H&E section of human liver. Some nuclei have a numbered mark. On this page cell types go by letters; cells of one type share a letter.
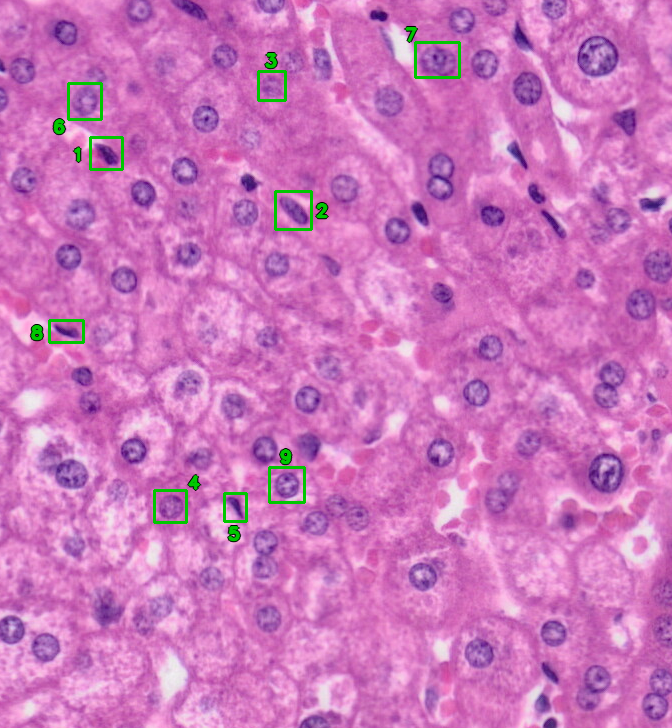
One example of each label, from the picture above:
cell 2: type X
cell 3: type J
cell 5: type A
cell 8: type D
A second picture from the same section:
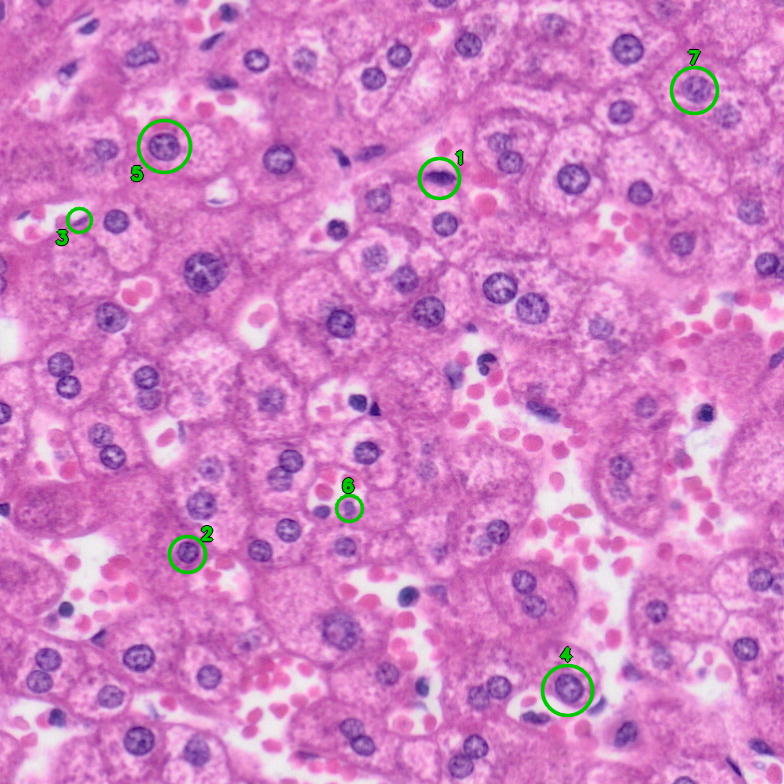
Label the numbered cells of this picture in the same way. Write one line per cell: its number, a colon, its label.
1: type A
2: type J
3: type D
4: type J
5: type J
6: type X
7: type J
